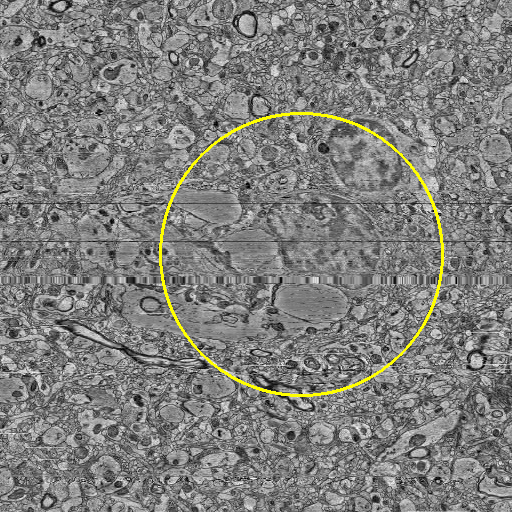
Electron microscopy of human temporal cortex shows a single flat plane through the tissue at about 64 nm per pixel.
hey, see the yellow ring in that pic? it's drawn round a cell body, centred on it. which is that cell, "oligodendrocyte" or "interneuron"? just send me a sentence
The cell in the ring is an oligodendrocyte.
